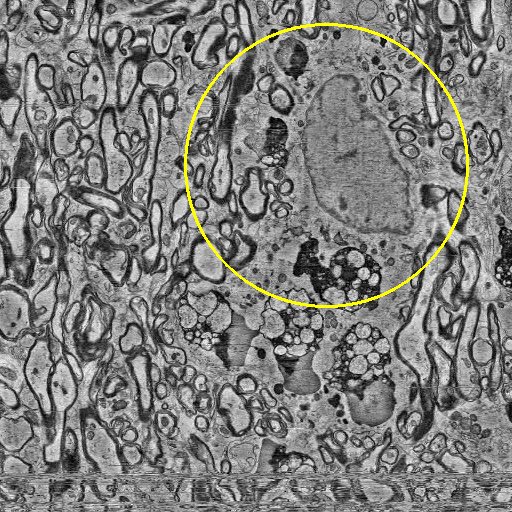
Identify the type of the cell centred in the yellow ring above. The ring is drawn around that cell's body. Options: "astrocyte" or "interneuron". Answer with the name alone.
astrocyte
